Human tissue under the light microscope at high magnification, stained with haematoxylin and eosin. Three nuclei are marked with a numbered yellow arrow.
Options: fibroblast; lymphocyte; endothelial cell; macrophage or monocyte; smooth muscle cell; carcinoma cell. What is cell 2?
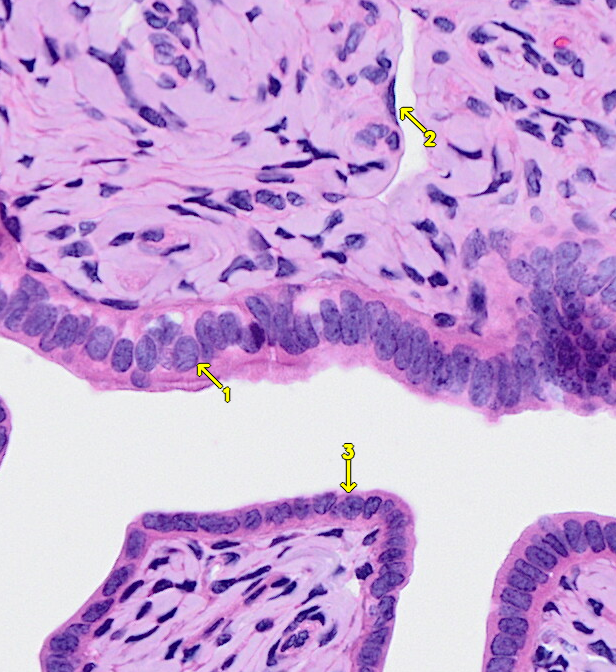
endothelial cell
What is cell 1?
carcinoma cell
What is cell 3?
carcinoma cell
